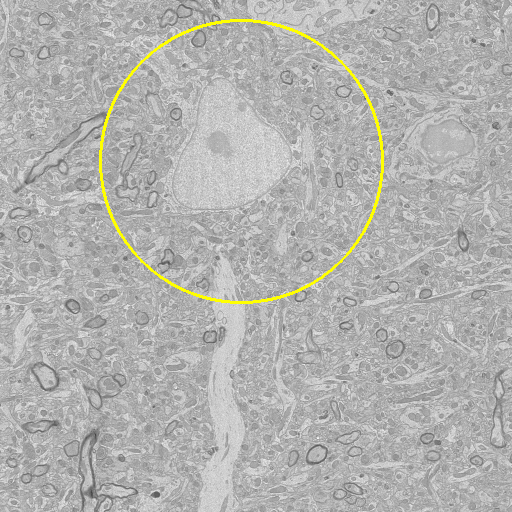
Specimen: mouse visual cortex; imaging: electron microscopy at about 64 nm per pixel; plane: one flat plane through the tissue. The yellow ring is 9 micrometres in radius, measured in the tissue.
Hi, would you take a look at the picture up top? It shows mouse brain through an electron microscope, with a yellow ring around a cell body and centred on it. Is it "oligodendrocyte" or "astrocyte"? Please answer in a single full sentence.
The best fit for the cell in the middle of the ring is an astrocyte, I reckon.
